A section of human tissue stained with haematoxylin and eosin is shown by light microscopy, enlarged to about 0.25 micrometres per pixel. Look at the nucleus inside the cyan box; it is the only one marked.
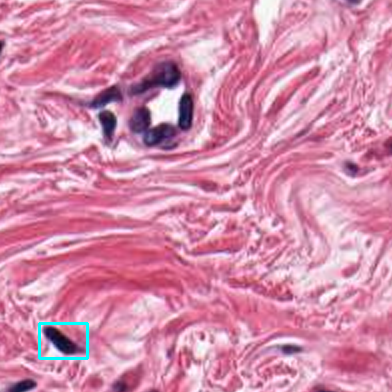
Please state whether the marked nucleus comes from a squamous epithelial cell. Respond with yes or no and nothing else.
no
